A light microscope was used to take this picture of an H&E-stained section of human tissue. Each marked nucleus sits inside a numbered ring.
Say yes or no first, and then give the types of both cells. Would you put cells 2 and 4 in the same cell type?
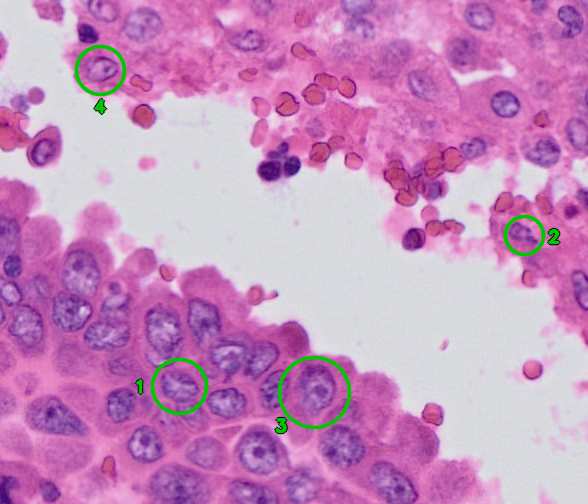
Yes, cell 2 and likewise cell 4 are macrophages or monocytes.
